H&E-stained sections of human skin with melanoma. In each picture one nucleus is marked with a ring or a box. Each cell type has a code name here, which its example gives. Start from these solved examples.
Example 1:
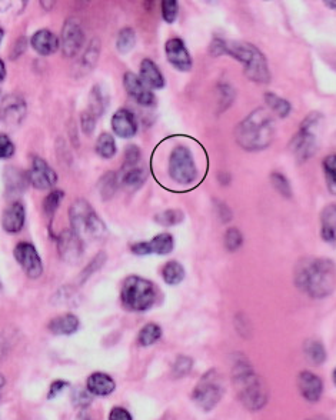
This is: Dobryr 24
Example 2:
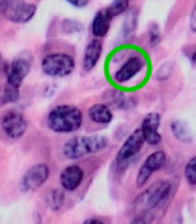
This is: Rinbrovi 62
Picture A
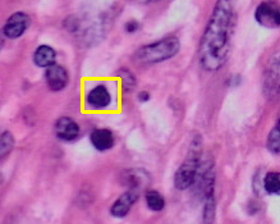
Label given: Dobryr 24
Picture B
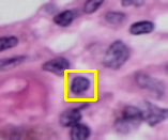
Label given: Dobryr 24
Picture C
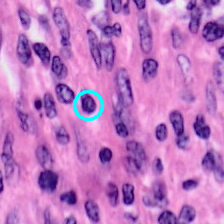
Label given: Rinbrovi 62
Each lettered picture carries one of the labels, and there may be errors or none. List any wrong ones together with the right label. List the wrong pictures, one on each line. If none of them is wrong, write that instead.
C: not Rinbrovi 62 but Dobryr 24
